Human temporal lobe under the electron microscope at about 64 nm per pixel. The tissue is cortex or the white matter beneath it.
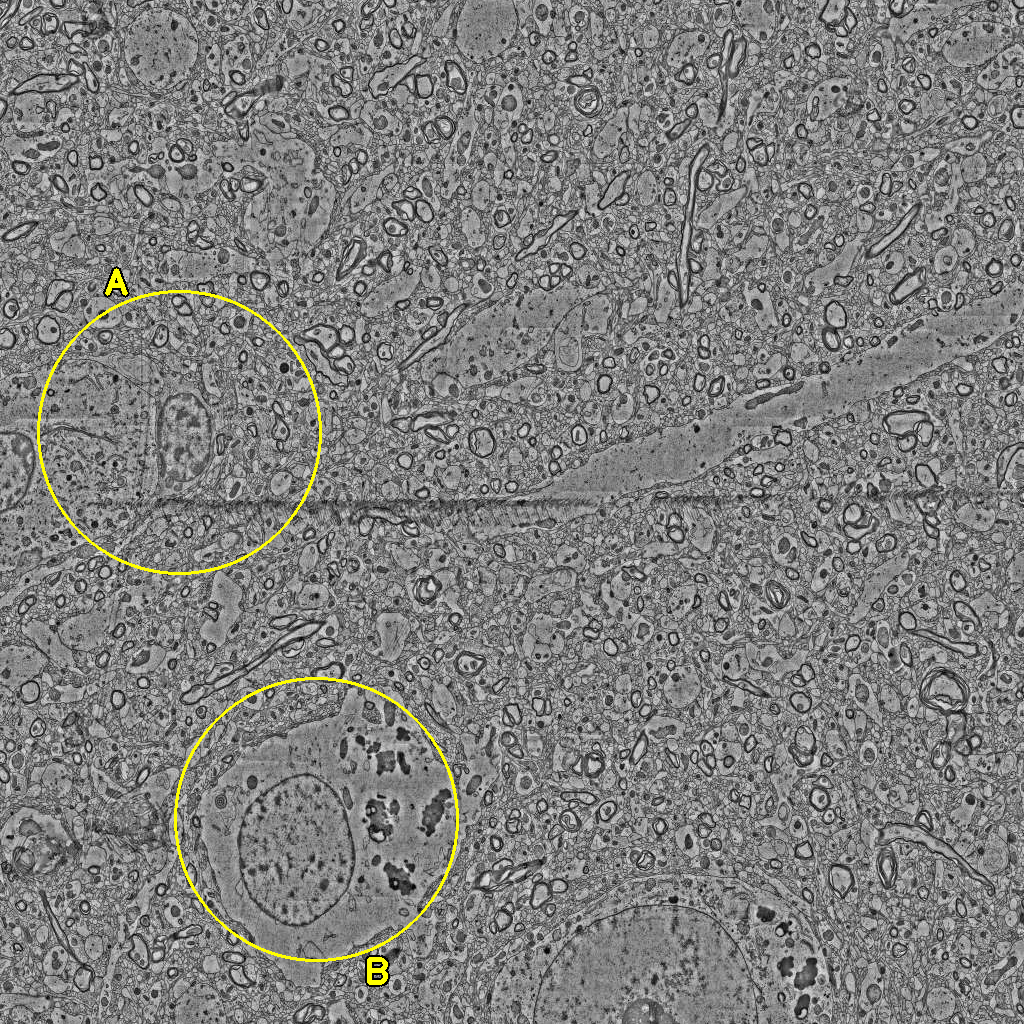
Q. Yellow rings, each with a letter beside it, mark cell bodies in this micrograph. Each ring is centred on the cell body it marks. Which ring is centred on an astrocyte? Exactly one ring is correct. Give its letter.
B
